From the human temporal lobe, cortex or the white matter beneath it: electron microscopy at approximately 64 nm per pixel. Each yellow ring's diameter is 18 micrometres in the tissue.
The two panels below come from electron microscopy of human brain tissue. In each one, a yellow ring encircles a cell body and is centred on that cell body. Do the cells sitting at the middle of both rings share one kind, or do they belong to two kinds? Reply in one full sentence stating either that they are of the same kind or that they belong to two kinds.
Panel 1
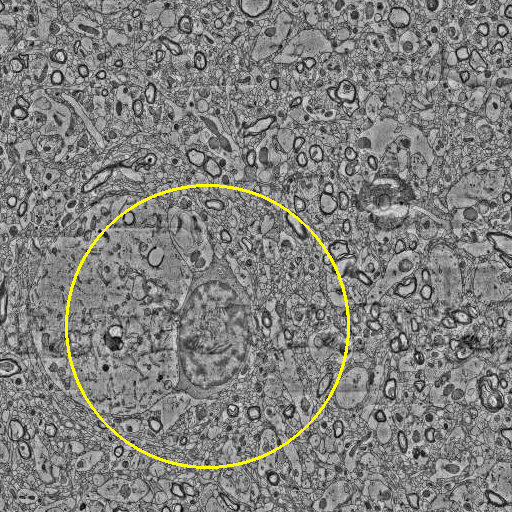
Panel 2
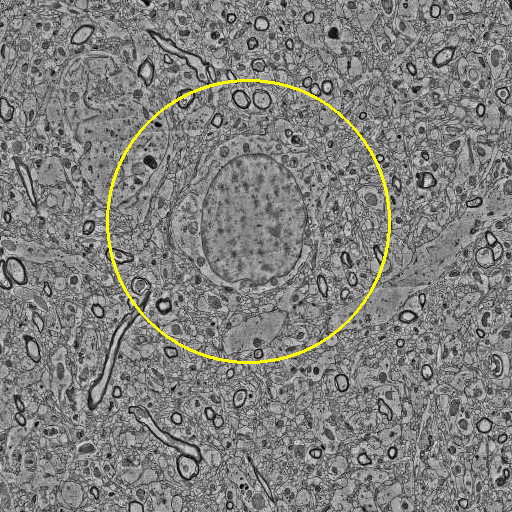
The cells at the centres of the two rings belong to two kinds.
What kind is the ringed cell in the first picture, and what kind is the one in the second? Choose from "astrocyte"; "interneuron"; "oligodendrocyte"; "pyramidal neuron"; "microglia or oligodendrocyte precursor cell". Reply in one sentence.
The first cell is an oligodendrocyte; the second is an interneuron.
